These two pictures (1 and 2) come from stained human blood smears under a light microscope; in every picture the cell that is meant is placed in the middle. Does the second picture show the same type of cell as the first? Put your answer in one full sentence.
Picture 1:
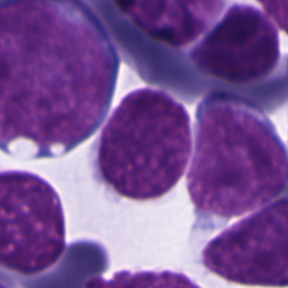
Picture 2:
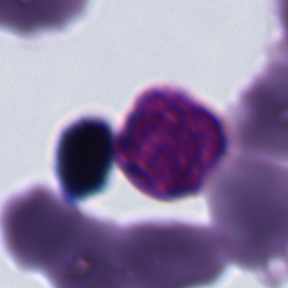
Yes, both cells are myeloblasts.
